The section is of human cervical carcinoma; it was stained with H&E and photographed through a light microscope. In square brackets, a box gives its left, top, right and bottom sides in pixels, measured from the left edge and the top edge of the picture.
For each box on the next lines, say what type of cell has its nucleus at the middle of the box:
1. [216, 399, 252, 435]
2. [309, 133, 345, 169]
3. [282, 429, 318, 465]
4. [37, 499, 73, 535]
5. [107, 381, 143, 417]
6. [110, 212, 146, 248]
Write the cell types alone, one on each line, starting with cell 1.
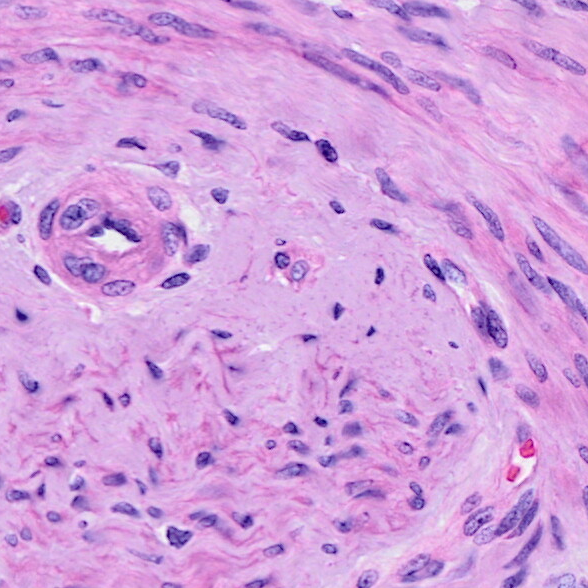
smooth muscle cell
lymphocyte
smooth muscle cell
smooth muscle cell
smooth muscle cell
endothelial cell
